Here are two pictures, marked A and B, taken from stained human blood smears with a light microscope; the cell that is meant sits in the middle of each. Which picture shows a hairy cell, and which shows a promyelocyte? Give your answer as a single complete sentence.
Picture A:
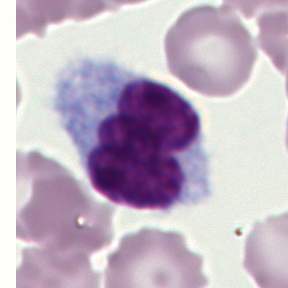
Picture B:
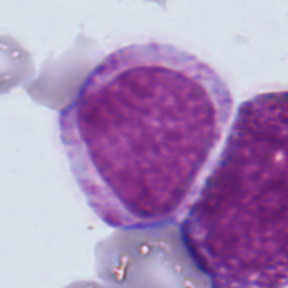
Picture A shows a hairy cell and picture B shows a promyelocyte.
